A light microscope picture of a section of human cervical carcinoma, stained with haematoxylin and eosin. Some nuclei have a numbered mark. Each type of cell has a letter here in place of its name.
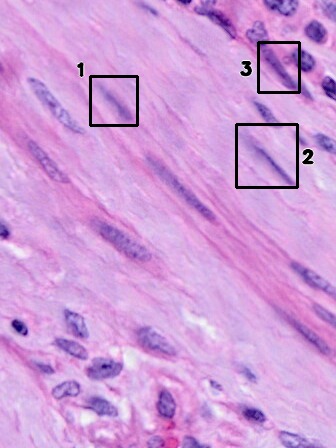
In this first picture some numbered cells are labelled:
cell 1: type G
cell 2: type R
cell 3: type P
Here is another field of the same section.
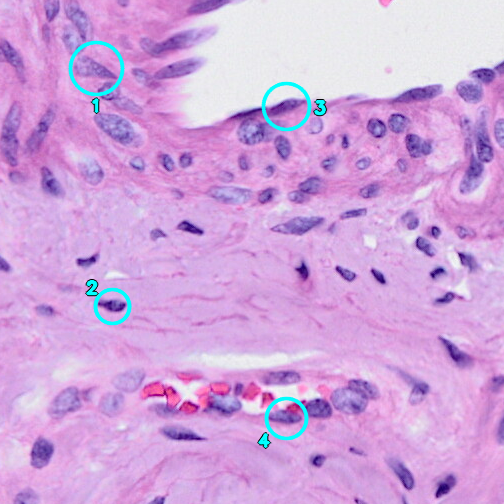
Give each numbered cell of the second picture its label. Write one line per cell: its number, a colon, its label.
1: type G
2: type R
3: type P
4: type P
